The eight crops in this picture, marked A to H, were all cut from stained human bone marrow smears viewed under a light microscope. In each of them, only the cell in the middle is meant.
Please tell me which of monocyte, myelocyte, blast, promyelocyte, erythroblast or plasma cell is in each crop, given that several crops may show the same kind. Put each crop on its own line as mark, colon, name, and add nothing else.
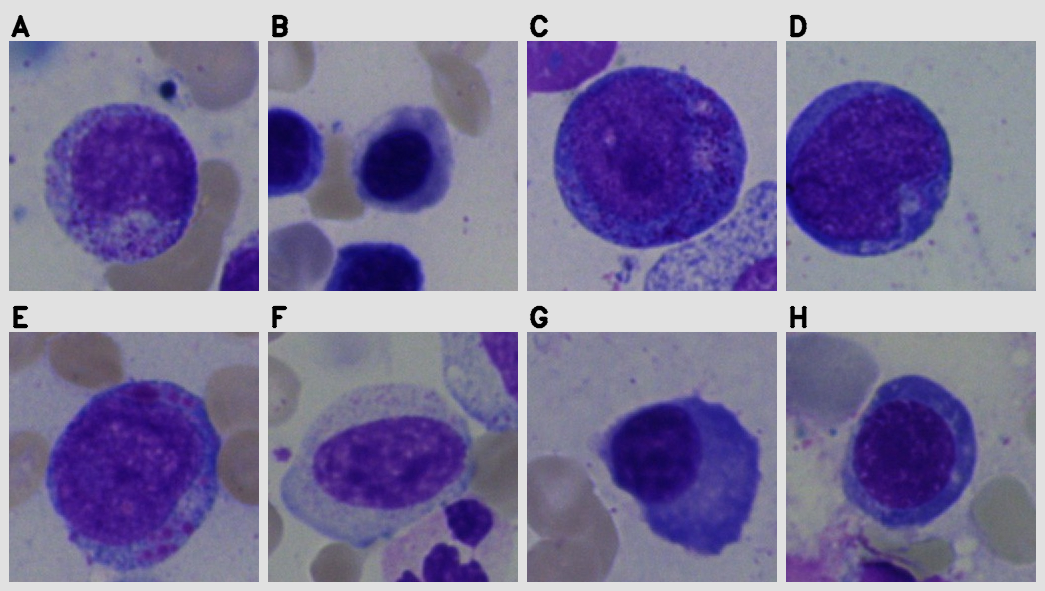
A: myelocyte
B: erythroblast
C: promyelocyte
D: blast
E: promyelocyte
F: myelocyte
G: plasma cell
H: erythroblast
